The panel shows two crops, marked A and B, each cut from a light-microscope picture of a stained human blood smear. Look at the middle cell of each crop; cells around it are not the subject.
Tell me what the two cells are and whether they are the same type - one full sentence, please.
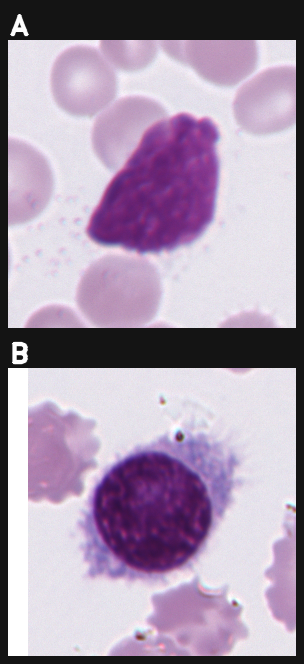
No, a hairy cell is in crop B, and a smudge cell is in crop A.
